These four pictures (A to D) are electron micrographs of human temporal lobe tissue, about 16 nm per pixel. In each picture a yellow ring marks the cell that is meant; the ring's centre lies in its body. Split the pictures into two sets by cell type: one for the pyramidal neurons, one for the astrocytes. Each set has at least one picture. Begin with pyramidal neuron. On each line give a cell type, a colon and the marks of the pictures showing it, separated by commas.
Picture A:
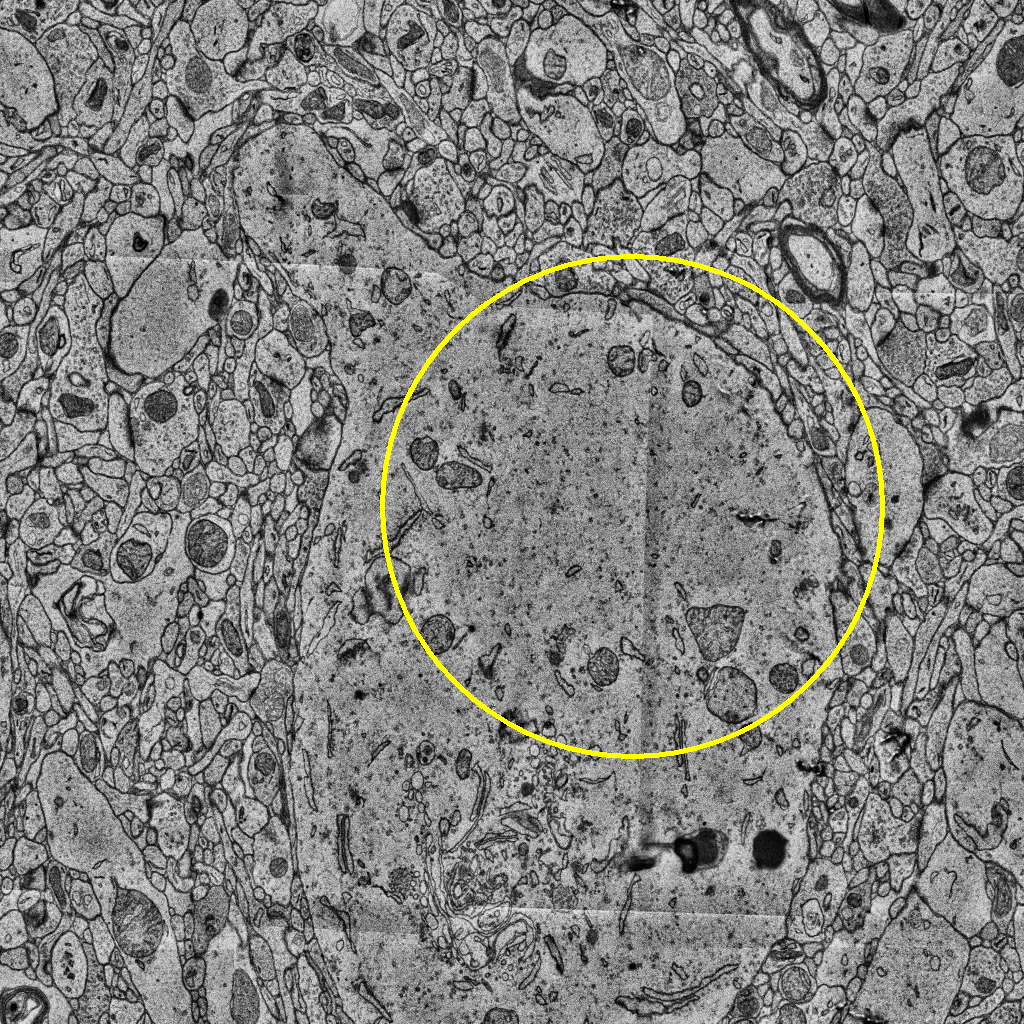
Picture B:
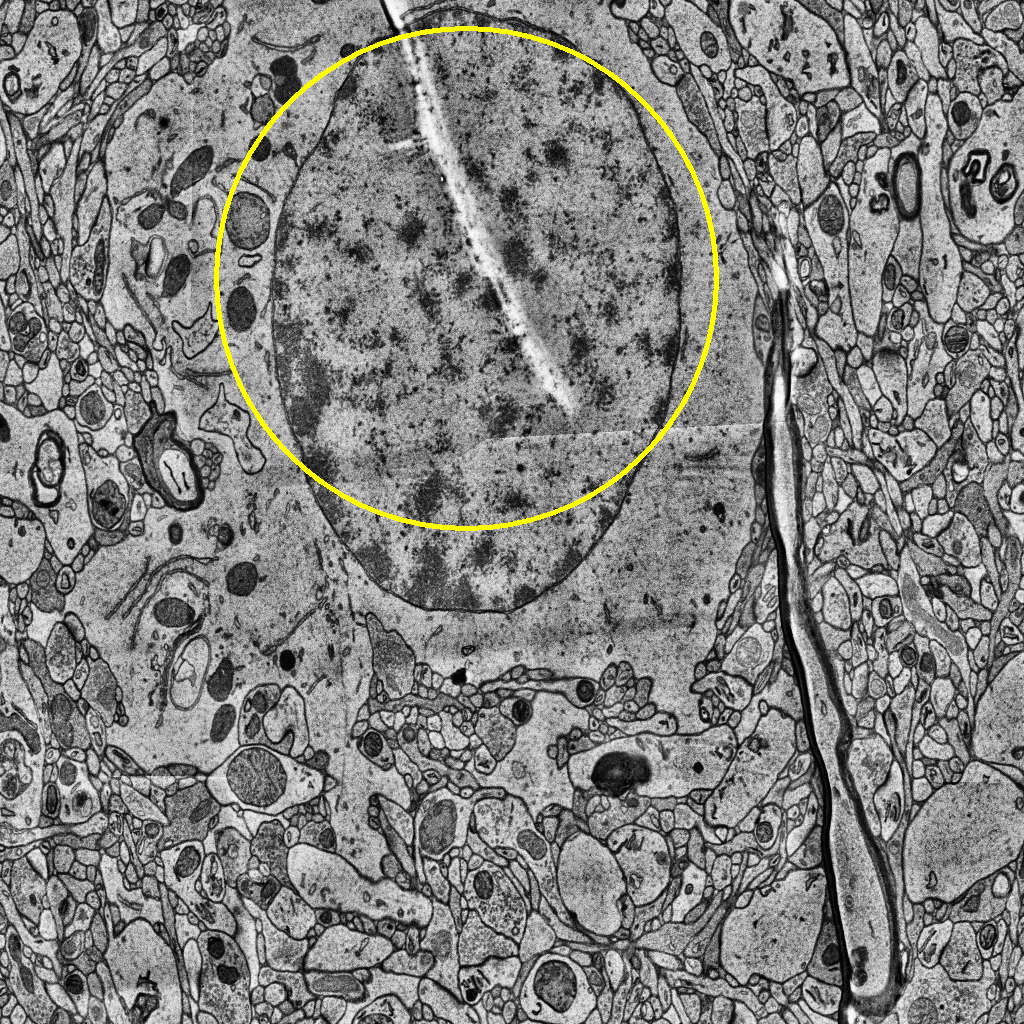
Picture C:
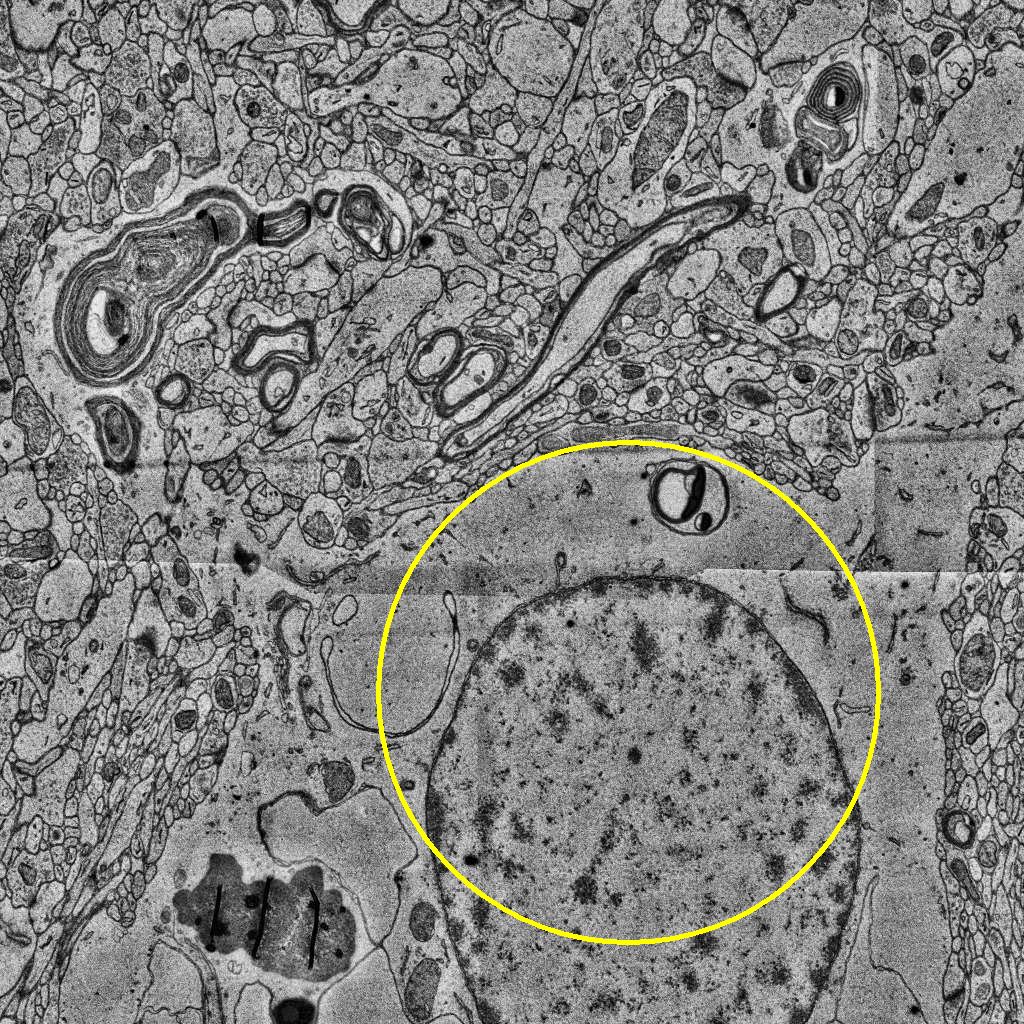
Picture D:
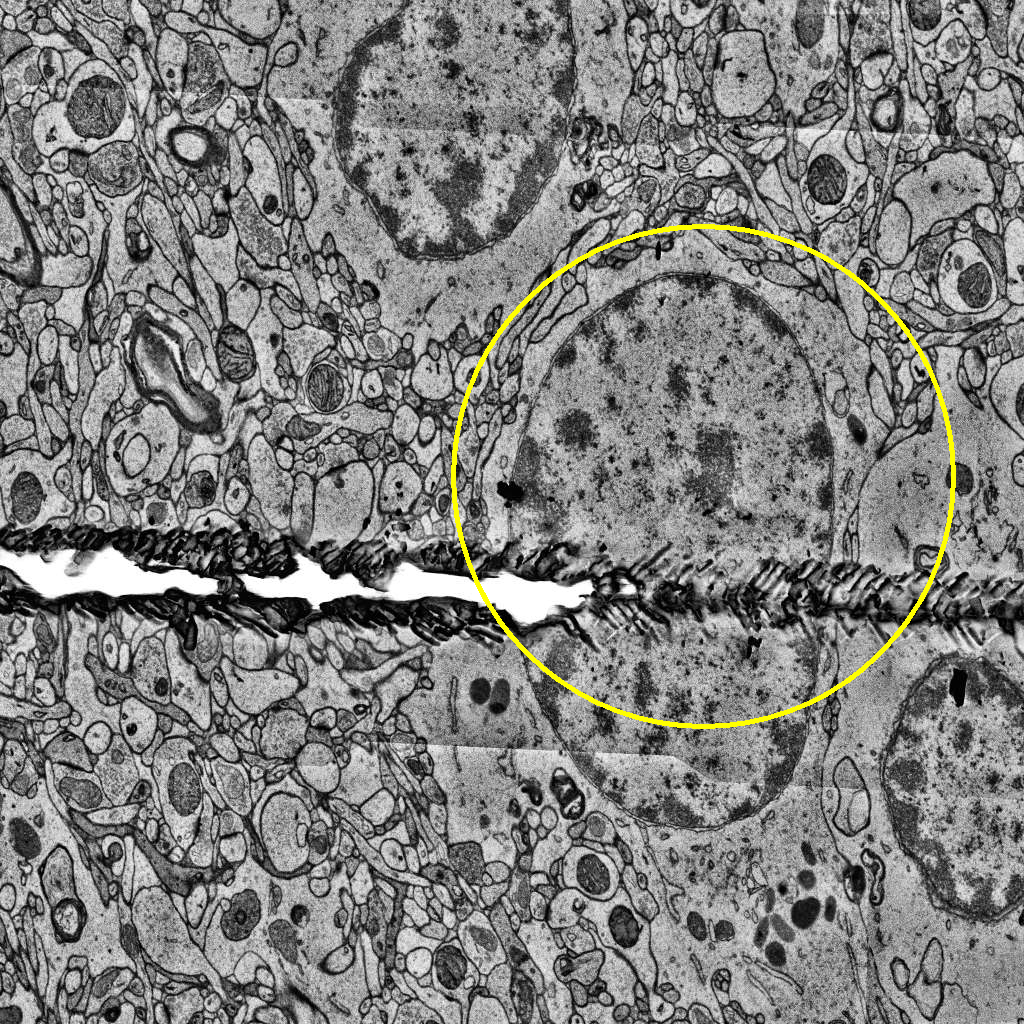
pyramidal neuron: A
astrocyte: B, C, D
